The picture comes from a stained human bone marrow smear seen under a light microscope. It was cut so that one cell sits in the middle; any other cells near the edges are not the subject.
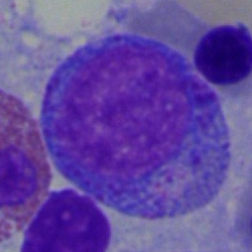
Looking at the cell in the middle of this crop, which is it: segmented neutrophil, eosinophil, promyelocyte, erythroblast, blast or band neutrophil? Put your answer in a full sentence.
Answering briefly, the cell in the middle is a promyelocyte.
